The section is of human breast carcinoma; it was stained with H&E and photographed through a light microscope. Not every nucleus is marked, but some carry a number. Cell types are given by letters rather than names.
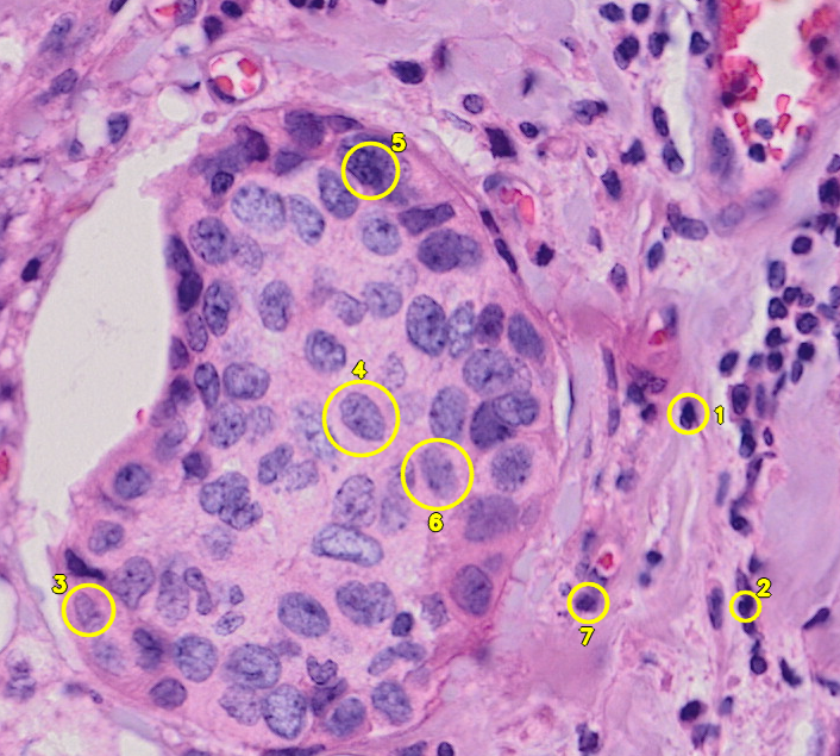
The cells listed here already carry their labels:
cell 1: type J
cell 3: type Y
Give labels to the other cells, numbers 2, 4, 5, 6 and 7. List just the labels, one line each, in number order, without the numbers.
type J
type Y
type Y
type Y
type J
